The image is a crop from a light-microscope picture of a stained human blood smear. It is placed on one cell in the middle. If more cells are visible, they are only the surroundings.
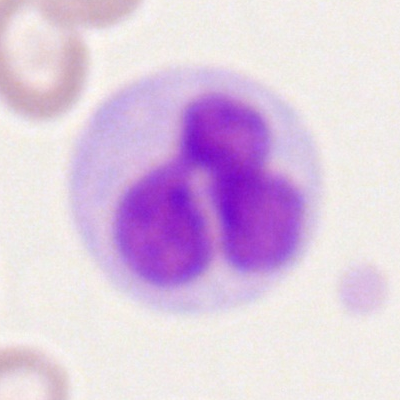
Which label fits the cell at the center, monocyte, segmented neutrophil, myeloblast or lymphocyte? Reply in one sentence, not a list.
Centred in the crop is a monocyte.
